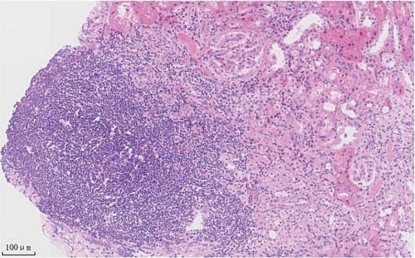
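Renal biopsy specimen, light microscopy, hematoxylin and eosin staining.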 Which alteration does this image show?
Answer: Nodular lymphocytes infiltration.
